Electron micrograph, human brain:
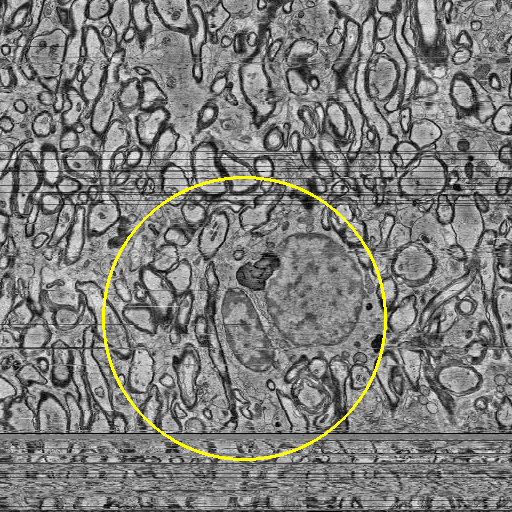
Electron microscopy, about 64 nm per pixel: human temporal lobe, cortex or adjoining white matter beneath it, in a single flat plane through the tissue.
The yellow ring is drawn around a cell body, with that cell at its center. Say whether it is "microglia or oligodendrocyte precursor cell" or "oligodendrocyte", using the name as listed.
microglia or oligodendrocyte precursor cell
